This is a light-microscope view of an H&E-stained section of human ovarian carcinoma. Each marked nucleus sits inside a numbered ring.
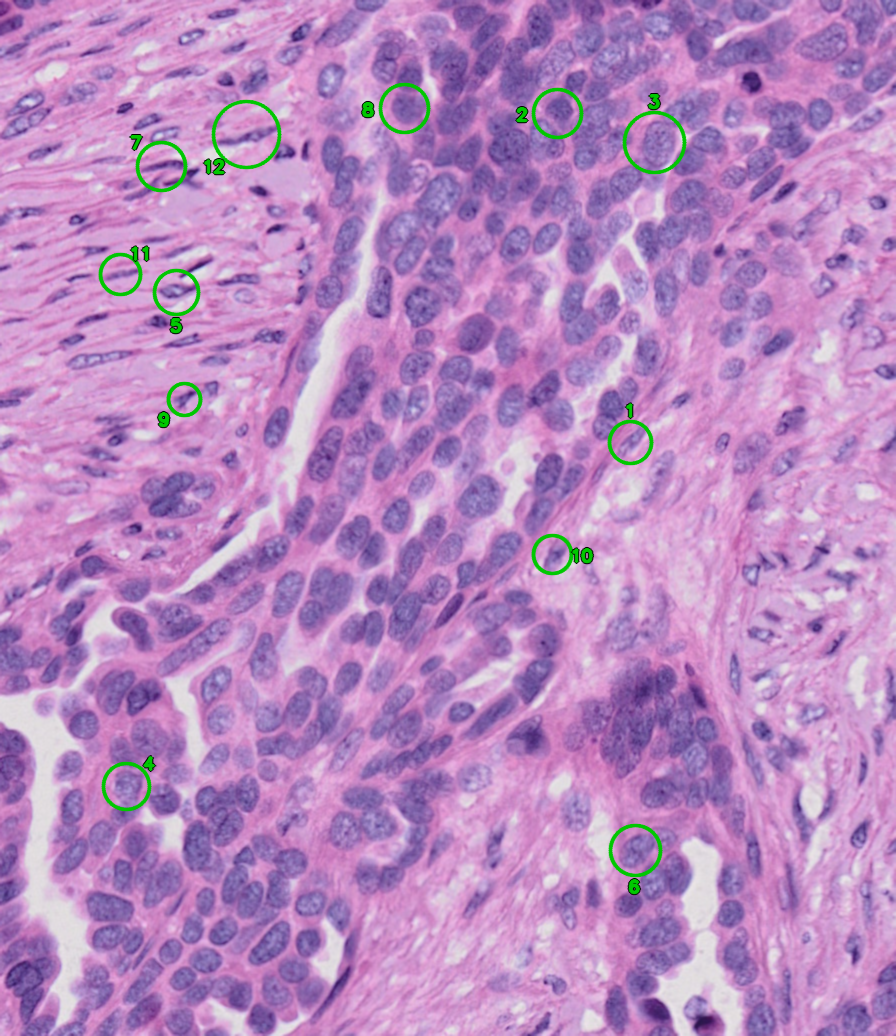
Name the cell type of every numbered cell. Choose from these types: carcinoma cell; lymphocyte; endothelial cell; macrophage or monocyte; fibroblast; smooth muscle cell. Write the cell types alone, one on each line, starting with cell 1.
fibroblast
carcinoma cell
carcinoma cell
carcinoma cell
fibroblast
carcinoma cell
fibroblast
carcinoma cell
fibroblast
fibroblast
fibroblast
fibroblast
